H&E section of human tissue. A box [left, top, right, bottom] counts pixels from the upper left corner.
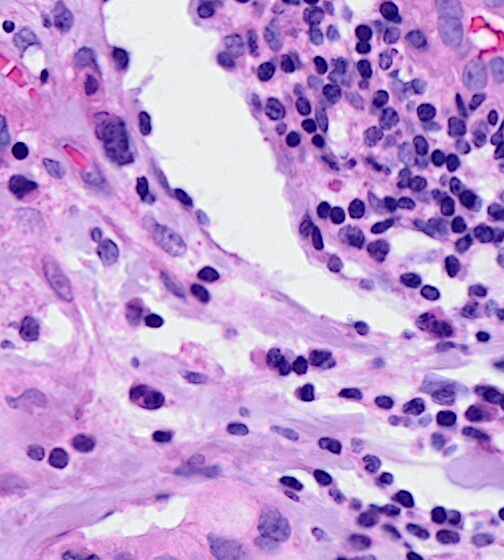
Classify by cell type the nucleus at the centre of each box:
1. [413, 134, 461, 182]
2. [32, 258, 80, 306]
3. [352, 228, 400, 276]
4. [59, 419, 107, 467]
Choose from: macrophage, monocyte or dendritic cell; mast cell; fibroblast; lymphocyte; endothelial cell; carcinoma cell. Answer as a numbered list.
1. lymphocyte
2. fibroblast
3. lymphocyte
4. lymphocyte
